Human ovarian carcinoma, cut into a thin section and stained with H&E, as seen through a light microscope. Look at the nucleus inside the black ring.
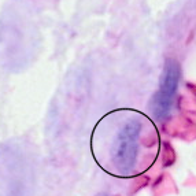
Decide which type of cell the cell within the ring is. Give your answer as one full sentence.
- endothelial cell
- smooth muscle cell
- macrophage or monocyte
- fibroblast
Right, so the cell within the ring is an endothelial cell, to answer that.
